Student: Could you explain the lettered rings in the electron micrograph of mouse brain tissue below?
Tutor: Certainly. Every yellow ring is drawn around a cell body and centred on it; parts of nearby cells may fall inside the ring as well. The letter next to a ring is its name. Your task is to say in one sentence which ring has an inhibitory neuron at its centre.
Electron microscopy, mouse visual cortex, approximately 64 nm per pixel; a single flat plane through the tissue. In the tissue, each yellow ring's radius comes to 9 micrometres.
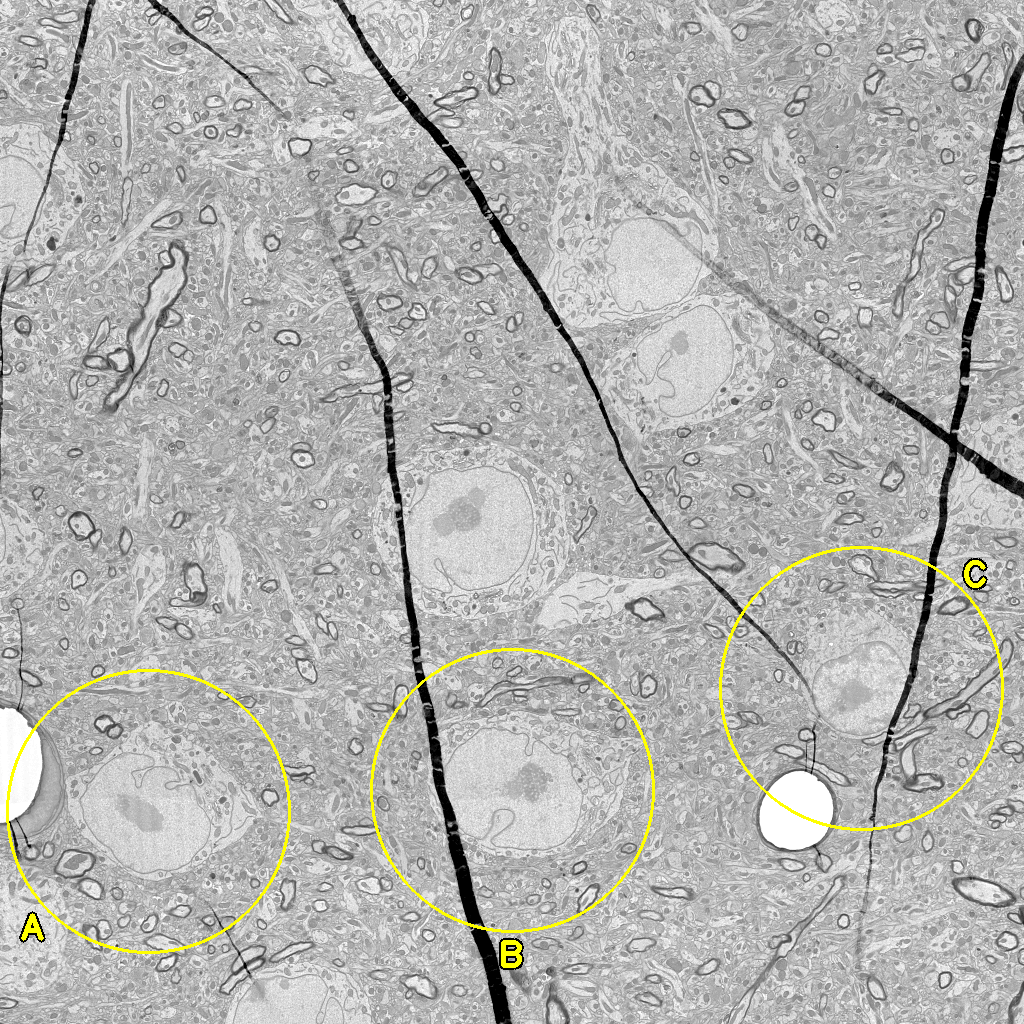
The cell at the centre of ring B is the one.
